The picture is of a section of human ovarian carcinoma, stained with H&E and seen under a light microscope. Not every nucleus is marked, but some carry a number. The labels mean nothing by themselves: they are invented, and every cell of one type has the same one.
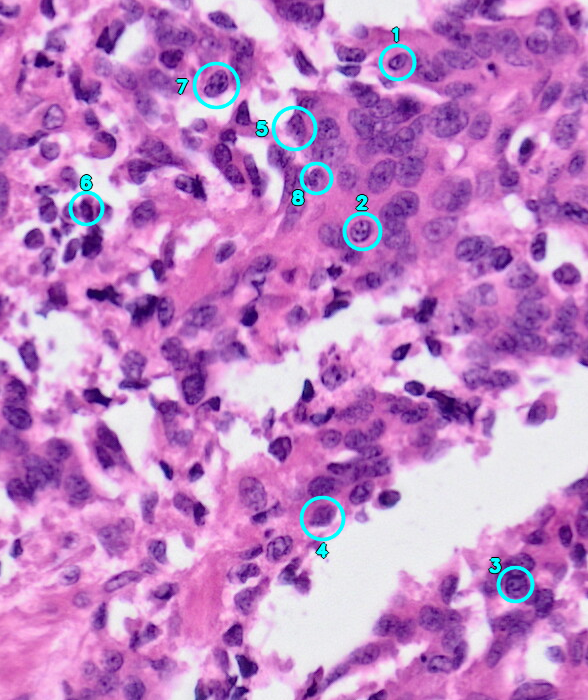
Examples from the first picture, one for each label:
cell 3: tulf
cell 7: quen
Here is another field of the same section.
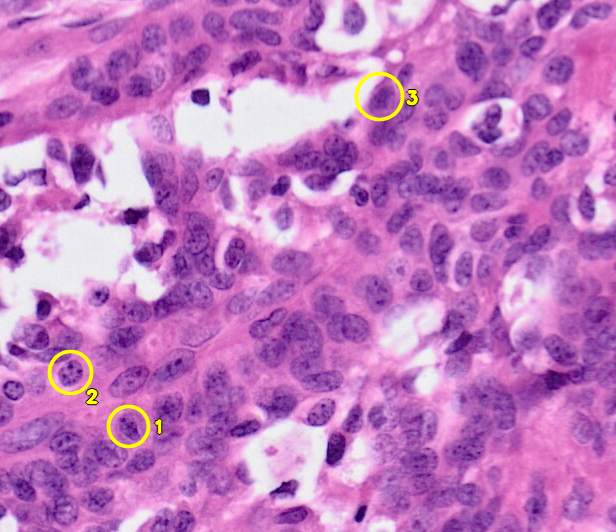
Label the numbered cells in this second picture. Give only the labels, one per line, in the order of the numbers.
quen
quen
tulf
